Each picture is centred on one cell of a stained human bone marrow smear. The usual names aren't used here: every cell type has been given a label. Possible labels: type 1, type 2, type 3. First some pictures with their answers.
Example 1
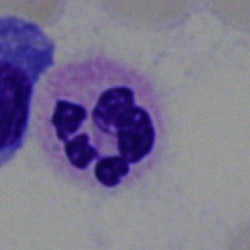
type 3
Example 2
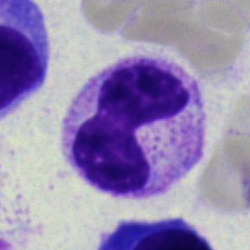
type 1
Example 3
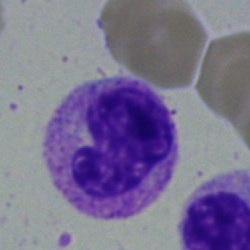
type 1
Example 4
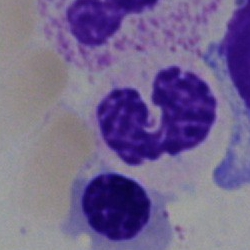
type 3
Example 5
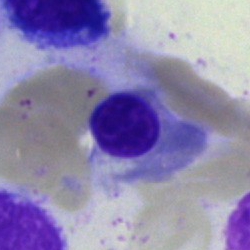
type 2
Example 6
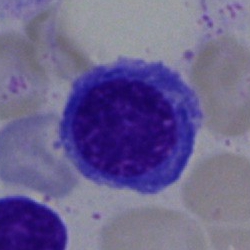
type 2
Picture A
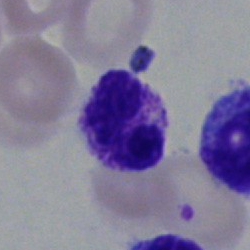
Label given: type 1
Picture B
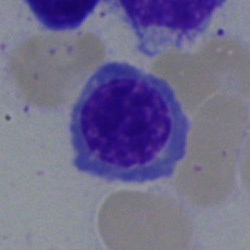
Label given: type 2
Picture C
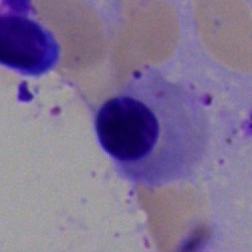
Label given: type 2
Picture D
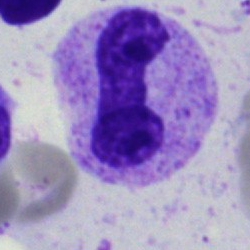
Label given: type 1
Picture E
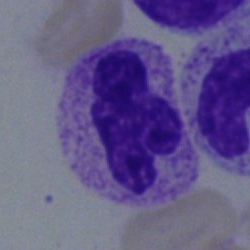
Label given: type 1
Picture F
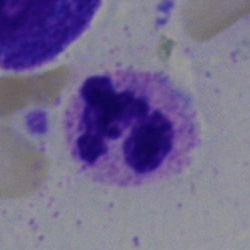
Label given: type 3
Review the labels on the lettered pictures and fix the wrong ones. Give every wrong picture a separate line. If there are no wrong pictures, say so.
A: not type 1 but type 3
